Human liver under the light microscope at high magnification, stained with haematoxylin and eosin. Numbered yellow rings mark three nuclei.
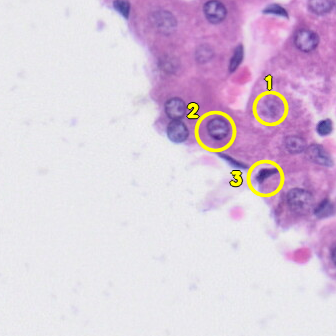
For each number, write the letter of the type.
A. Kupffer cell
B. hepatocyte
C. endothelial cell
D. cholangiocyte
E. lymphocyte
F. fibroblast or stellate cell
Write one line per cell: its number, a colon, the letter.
1: B
2: B
3: F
